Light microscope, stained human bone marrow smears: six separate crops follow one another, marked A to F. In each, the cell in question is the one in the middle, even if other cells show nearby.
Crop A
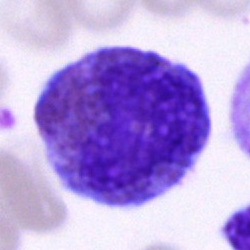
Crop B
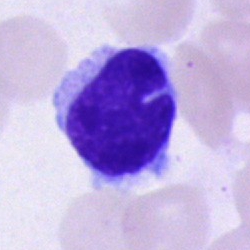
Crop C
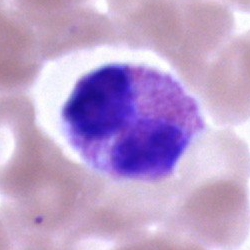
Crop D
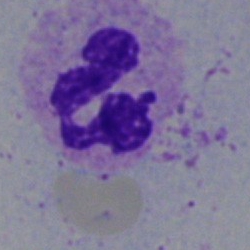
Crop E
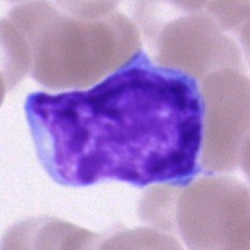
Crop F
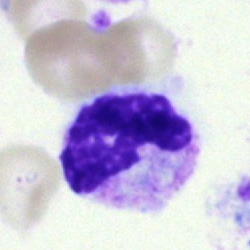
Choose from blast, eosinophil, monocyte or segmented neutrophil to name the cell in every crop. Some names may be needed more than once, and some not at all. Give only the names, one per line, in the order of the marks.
eosinophil
monocyte
eosinophil
segmented neutrophil
blast
segmented neutrophil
